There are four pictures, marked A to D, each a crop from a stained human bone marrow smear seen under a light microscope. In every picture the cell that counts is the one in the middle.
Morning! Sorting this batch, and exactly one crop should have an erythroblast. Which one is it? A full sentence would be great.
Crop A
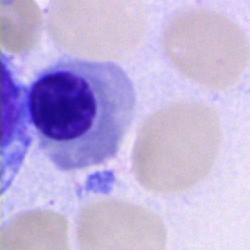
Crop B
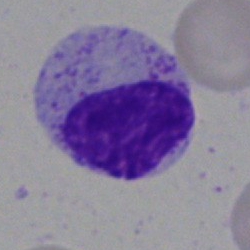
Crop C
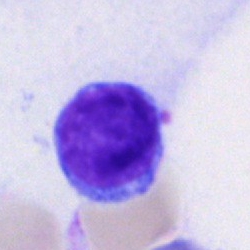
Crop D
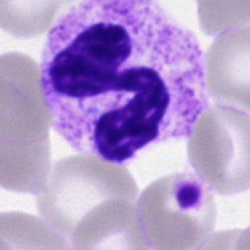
Crop A is where an erythroblast is shown.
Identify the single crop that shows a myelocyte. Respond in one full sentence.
Among all the crops given here, the one with a myelocyte is crop B.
